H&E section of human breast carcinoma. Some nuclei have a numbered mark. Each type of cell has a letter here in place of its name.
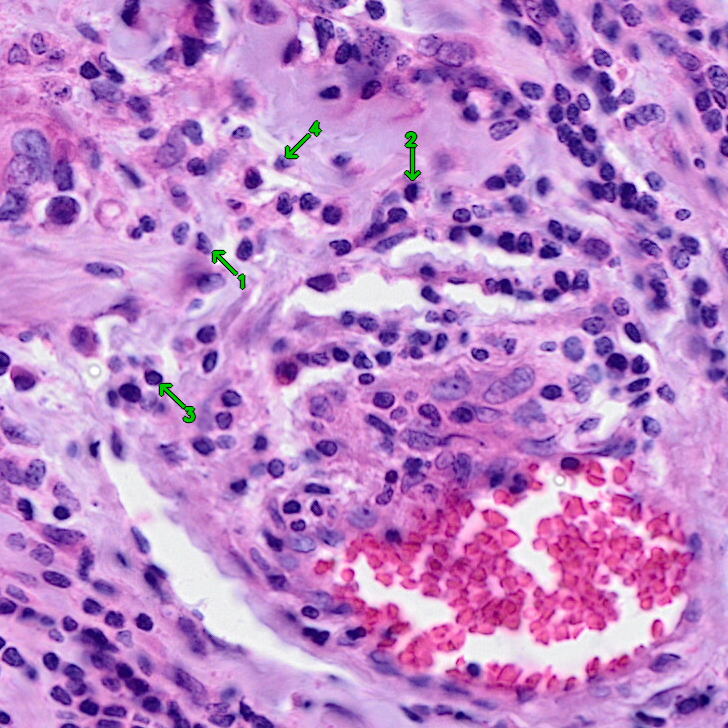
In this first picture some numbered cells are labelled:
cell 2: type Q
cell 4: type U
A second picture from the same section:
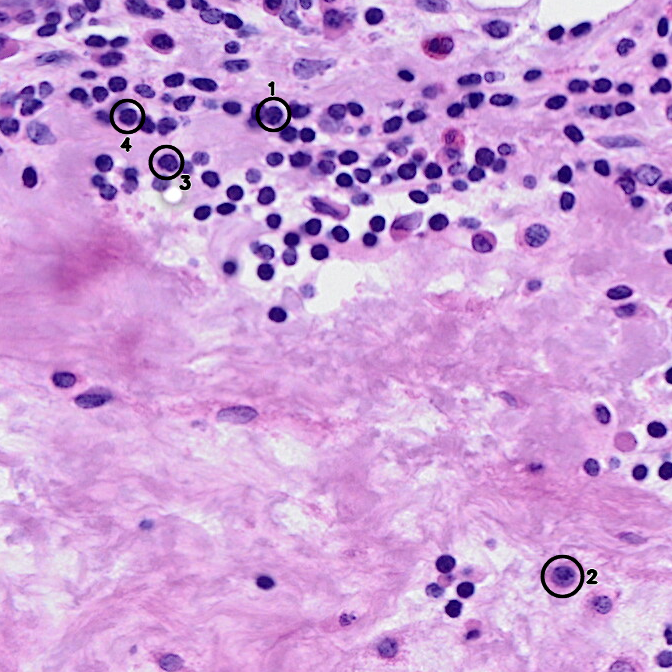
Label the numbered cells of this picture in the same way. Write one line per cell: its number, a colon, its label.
1: type Q
2: type U
3: type Q
4: type Q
